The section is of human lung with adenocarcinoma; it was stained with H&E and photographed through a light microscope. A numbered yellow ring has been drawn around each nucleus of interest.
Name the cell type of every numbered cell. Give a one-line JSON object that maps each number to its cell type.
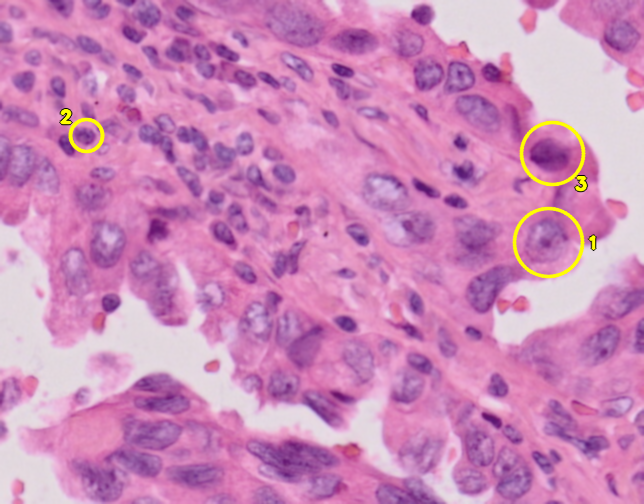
{"1": "carcinoma cell", "2": "lymphocyte", "3": "carcinoma cell"}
